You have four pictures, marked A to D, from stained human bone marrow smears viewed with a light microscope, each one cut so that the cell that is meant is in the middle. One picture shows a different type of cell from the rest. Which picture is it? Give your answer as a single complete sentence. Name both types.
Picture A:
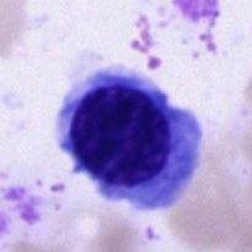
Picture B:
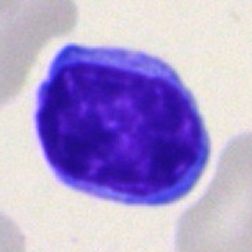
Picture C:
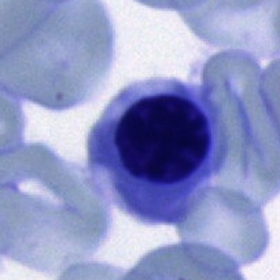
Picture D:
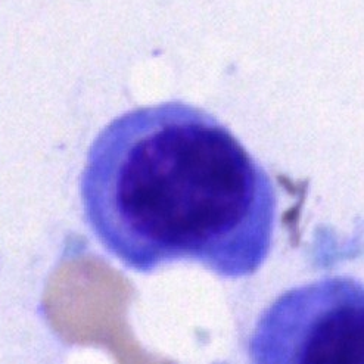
All pictures except B show erythroblasts; picture B shows a lymphocyte.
